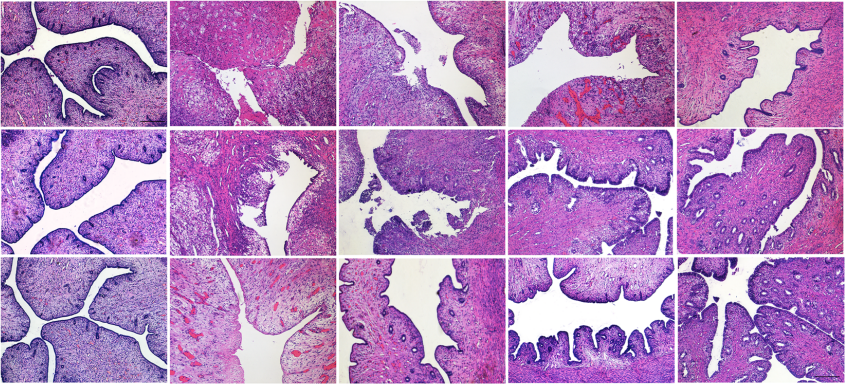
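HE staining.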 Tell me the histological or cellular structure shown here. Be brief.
Endometrial glands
